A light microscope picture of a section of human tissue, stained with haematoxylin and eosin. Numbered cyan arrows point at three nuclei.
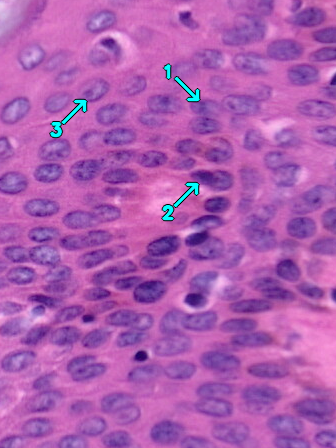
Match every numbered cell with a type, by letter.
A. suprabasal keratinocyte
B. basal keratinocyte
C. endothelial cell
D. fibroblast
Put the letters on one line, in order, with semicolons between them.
A; B; A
